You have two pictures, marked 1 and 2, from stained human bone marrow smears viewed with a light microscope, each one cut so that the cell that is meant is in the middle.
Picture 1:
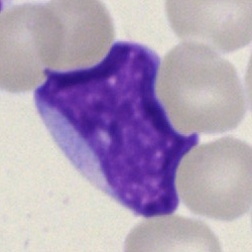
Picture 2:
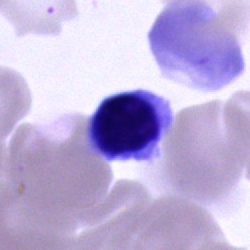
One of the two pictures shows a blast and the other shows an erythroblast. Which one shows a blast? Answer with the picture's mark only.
1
